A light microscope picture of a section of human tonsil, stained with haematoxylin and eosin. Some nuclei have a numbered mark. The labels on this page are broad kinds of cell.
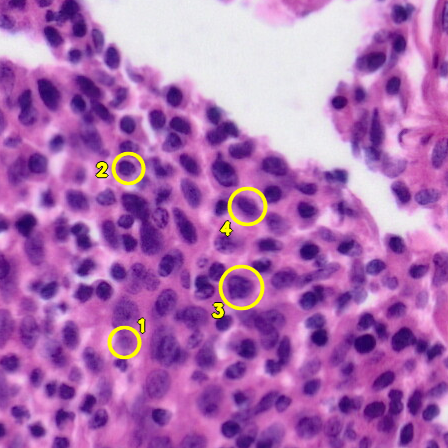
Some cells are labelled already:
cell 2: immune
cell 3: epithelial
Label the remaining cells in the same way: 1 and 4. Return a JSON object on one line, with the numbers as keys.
{"1": "epithelial", "4": "epithelial"}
